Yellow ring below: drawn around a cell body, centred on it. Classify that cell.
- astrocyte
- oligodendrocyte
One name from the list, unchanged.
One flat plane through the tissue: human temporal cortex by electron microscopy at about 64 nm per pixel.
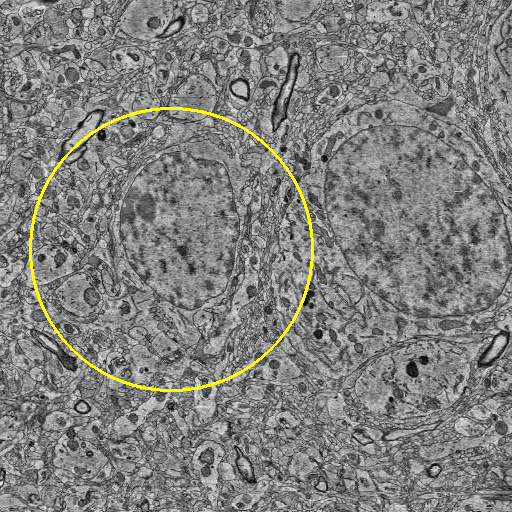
astrocyte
